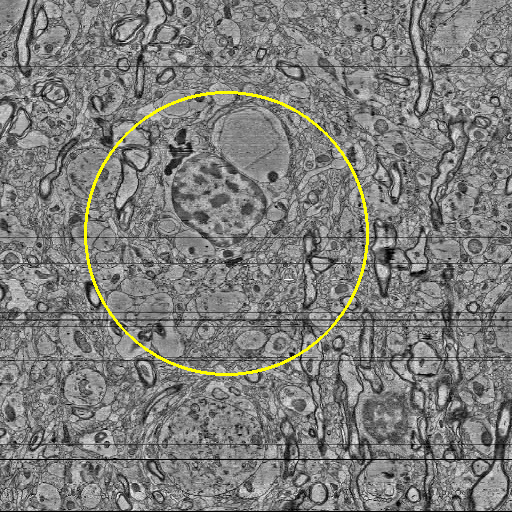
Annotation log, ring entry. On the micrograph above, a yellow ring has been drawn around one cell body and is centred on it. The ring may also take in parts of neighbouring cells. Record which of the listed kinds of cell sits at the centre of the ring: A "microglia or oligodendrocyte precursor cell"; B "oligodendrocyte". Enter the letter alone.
A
